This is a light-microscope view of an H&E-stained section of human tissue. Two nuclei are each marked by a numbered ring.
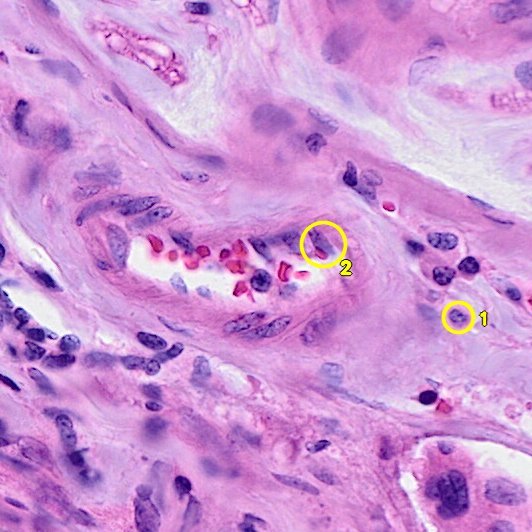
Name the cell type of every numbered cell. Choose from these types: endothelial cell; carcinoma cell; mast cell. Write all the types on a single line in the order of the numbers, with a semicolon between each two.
mast cell; endothelial cell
